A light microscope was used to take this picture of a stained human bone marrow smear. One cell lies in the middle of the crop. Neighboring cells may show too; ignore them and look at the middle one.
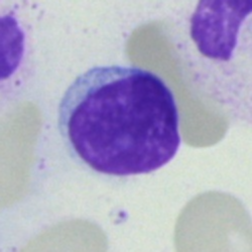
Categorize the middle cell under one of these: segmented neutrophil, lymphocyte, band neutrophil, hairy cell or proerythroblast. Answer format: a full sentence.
Classification of the middle cell gives a lymphocyte.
